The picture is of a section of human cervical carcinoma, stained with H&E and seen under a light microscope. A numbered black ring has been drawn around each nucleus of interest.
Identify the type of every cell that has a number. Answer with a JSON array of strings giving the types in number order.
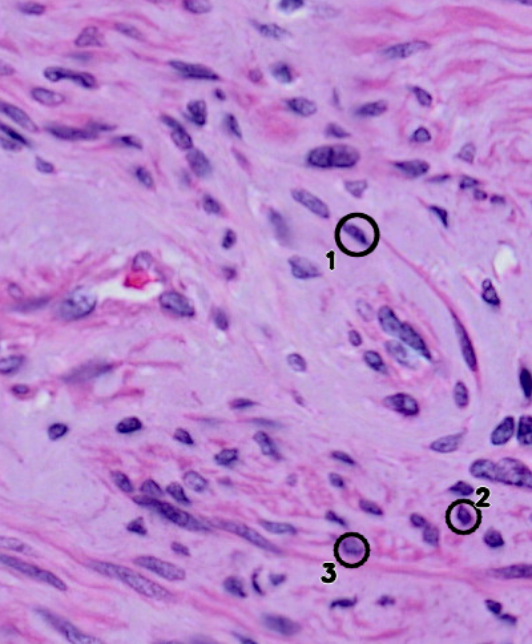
["fibroblast", "smooth muscle cell", "smooth muscle cell"]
